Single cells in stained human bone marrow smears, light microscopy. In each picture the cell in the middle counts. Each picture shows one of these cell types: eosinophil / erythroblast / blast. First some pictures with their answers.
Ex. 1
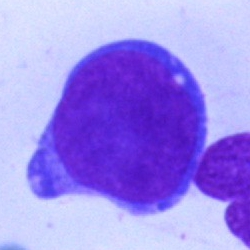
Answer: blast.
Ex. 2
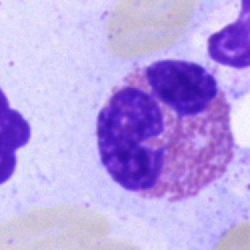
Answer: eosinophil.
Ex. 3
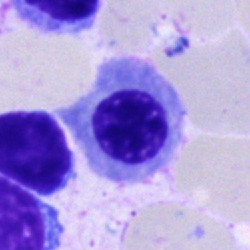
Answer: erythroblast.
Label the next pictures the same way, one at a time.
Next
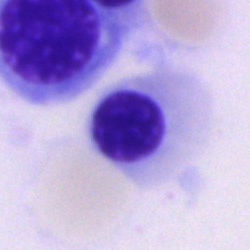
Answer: erythroblast.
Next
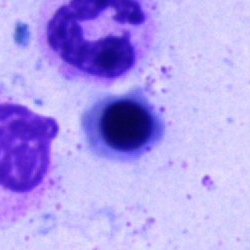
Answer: erythroblast.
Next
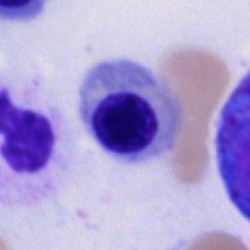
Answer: erythroblast.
